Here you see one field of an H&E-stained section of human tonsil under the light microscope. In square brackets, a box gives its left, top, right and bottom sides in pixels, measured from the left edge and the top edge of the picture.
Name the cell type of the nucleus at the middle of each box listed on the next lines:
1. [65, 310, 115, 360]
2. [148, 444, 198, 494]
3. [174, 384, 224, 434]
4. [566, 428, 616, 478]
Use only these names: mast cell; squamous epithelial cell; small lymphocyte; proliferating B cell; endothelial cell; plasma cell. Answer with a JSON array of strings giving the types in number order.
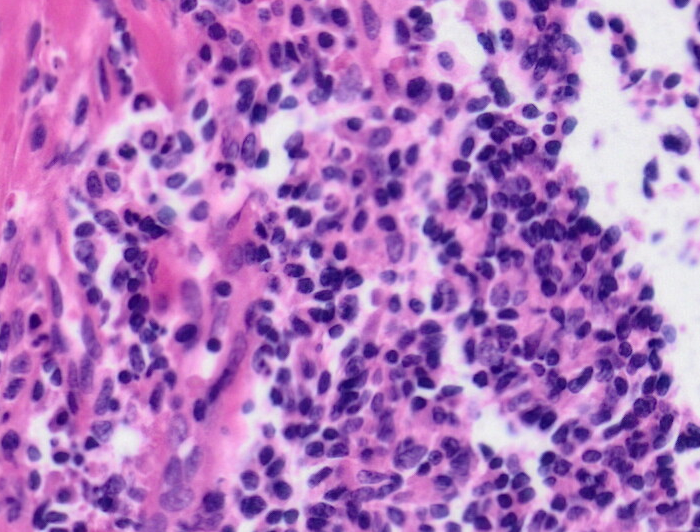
["endothelial cell", "endothelial cell", "endothelial cell", "small lymphocyte"]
